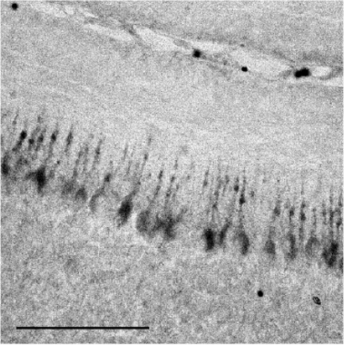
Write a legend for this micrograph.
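This is cerebellar cortex with a single row of large neurons whose cell bodies are darkly stained. From each one a thick stained process rises into the paler, finely textured layer above, thinning as it goes. Below the row the tissue is light and uniform, with few stained elements. These large aligned neurons with dendrites directed into the outer layer are Purkinje cells.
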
